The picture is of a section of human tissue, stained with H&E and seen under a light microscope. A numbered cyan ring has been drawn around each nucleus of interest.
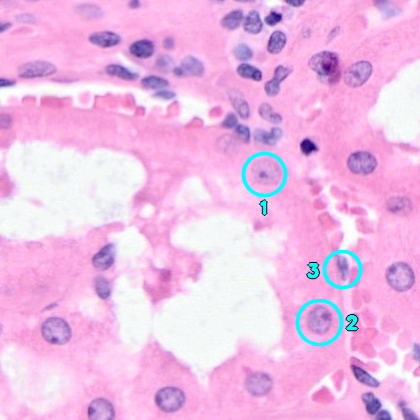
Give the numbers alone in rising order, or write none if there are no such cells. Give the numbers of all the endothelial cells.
3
